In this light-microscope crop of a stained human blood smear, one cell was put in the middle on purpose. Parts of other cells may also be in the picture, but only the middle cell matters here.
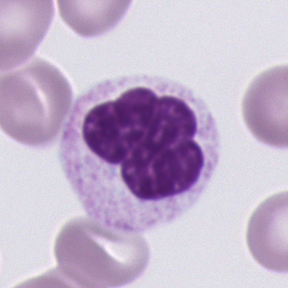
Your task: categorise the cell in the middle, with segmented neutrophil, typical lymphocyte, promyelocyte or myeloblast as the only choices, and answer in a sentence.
At the crop's centre, the cell is a segmented neutrophil.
